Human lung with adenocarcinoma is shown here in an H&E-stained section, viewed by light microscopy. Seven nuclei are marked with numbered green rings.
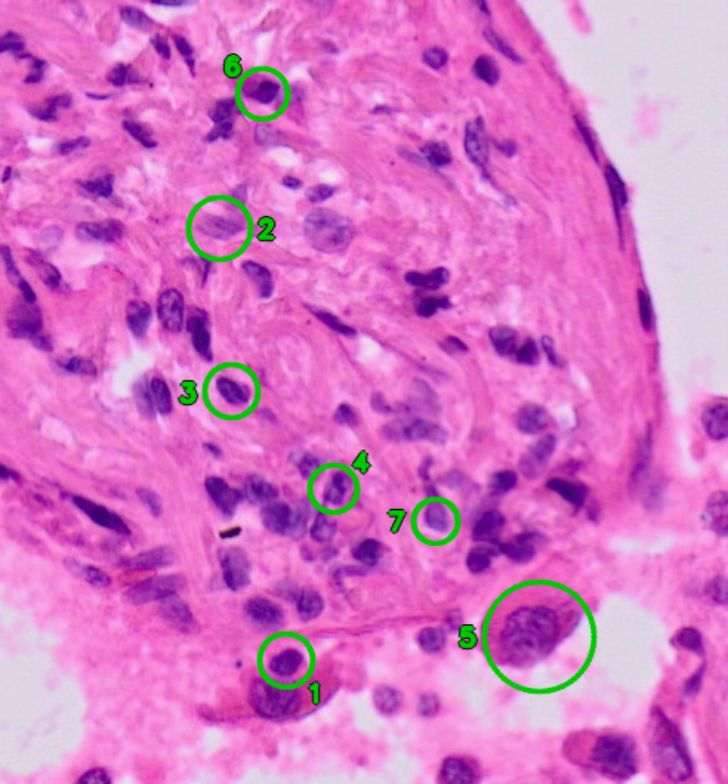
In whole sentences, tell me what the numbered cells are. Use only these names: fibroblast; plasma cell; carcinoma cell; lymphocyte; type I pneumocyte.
Cell 1 is a lymphocyte, cell 2 is a fibroblast, cell 3 is a lymphocyte, cell 4 is a plasma cell, cell 5 is a carcinoma cell, cell 6 is a plasma cell and cell 7 is a lymphocyte.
